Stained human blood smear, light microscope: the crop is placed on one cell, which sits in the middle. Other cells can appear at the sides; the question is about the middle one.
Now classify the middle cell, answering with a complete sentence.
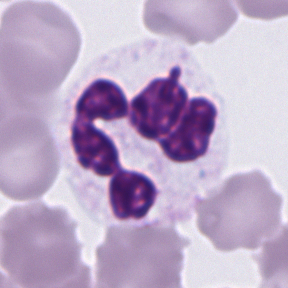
The cell that lies at the centre of the crop is a segmented neutrophil.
